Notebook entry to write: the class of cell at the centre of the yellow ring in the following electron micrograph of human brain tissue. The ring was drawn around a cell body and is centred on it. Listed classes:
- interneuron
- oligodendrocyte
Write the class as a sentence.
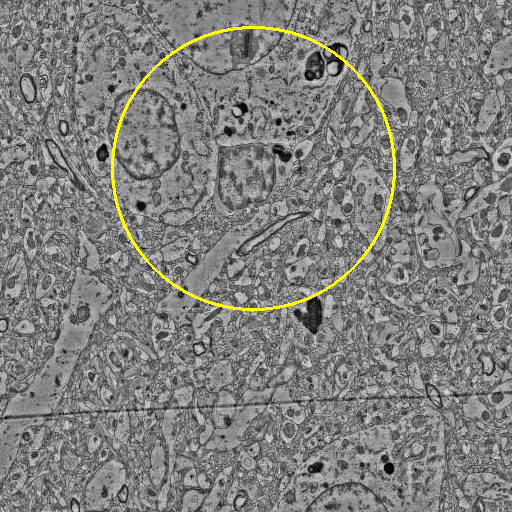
The yellow ring sits on an oligodendrocyte.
